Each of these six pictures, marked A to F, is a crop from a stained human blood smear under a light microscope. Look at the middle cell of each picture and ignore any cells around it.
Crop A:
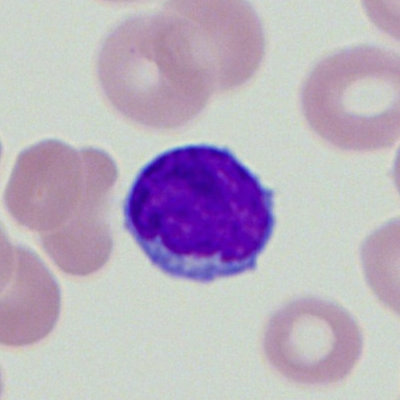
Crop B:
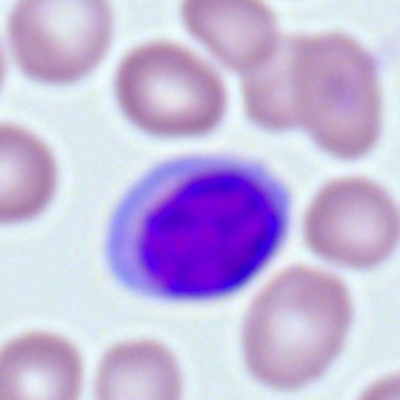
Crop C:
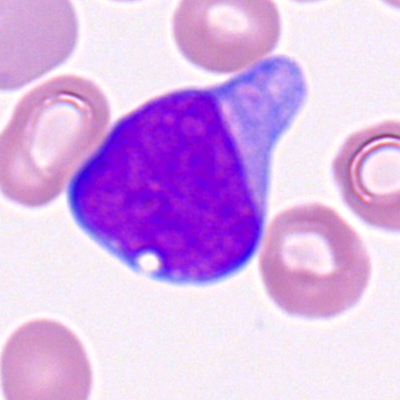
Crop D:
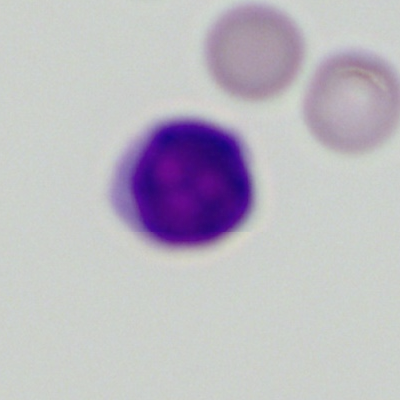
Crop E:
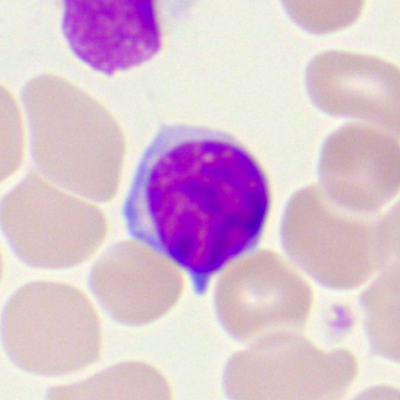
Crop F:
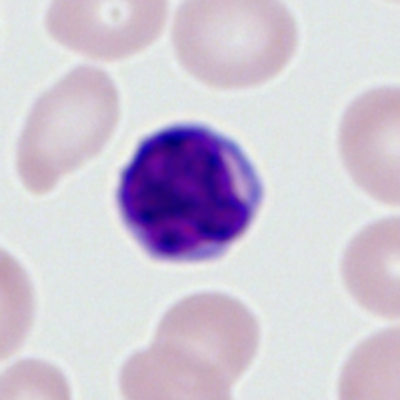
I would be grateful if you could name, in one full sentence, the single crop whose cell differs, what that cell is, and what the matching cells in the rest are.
Unlike the other crops, all showing lymphocytes, crop C is a myeloblast.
